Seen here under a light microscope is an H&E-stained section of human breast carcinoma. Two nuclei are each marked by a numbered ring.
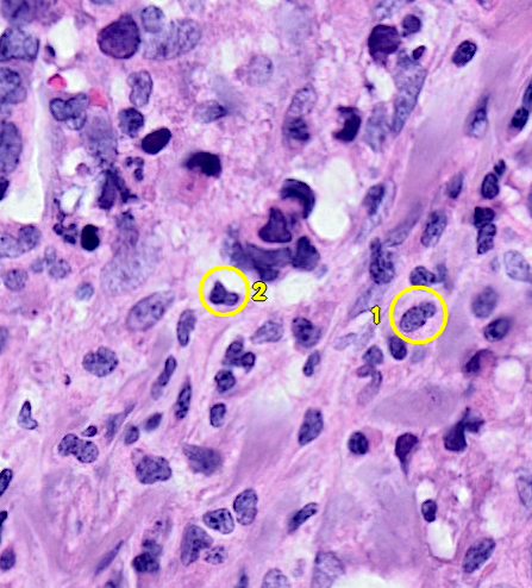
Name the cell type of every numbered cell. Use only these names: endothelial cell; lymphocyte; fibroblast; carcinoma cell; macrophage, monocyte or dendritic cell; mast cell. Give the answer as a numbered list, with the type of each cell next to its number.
1. mast cell
2. lymphocyte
